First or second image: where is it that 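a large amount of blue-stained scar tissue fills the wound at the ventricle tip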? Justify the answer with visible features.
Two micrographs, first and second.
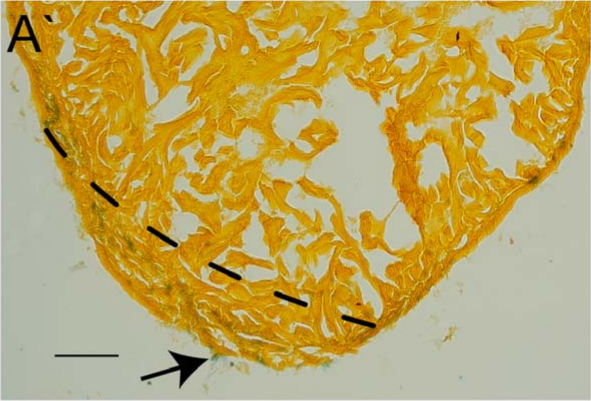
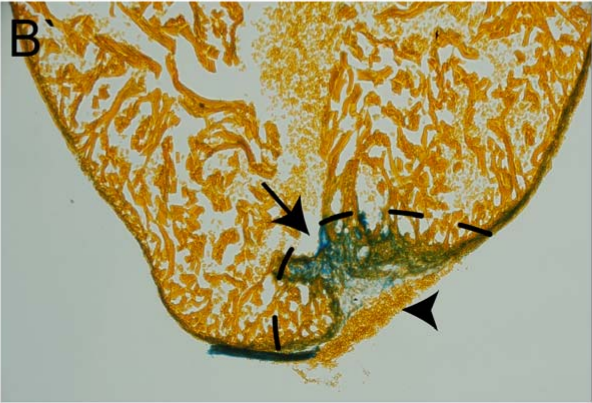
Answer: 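Second image: a large dense blue patch lies in the wound below the dashed line. First image: the tip is almost all orange muscle with only a faint trace of blue at the edge. The answer: the second image.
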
